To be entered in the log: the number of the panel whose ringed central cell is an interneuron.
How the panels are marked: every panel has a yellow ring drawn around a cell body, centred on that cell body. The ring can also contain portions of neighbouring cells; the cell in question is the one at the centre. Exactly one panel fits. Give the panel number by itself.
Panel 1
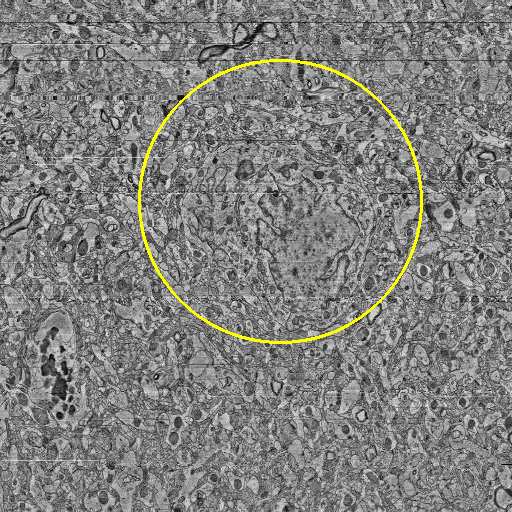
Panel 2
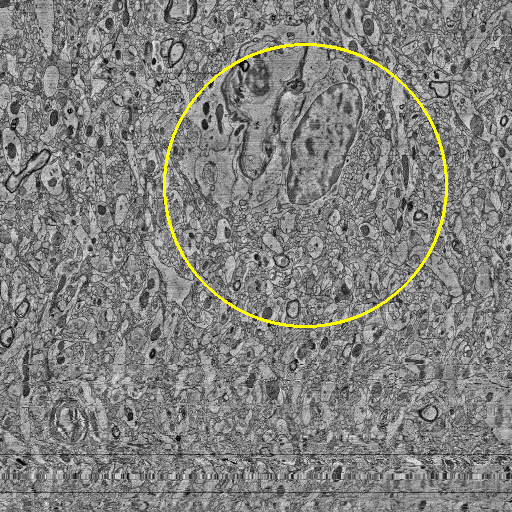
1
